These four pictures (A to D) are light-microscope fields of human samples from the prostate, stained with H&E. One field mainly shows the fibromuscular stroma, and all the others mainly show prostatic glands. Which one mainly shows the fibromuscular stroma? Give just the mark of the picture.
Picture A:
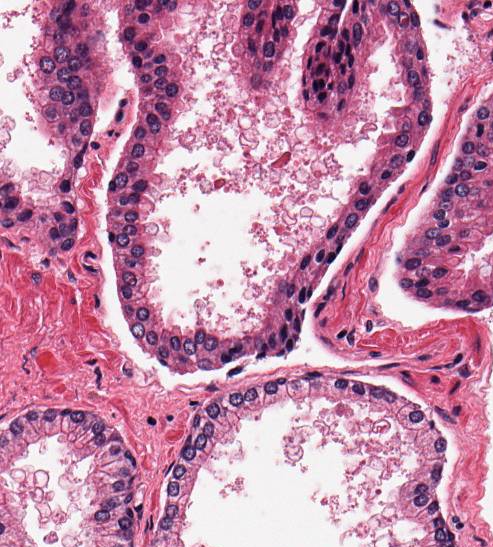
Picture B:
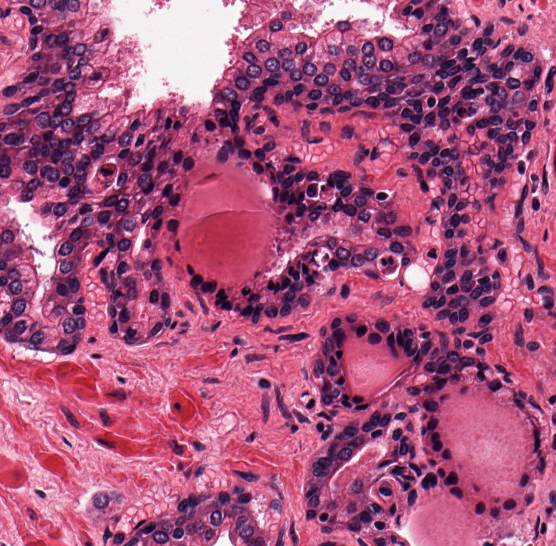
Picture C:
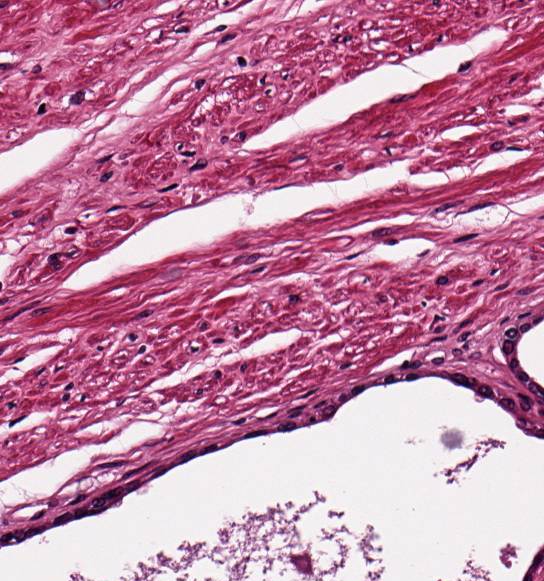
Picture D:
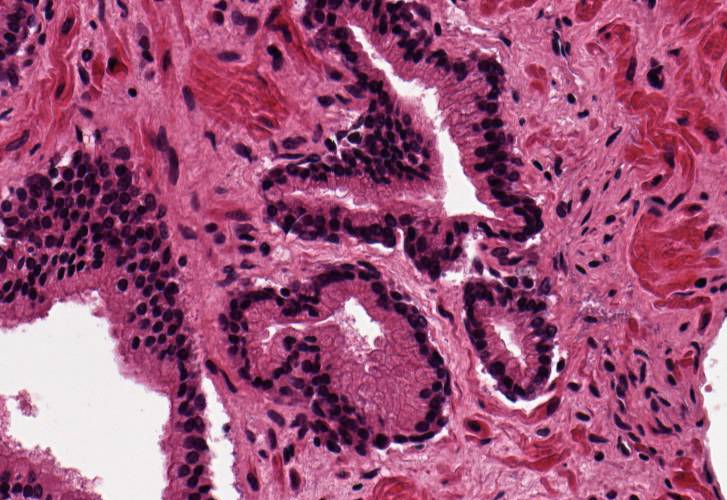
C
